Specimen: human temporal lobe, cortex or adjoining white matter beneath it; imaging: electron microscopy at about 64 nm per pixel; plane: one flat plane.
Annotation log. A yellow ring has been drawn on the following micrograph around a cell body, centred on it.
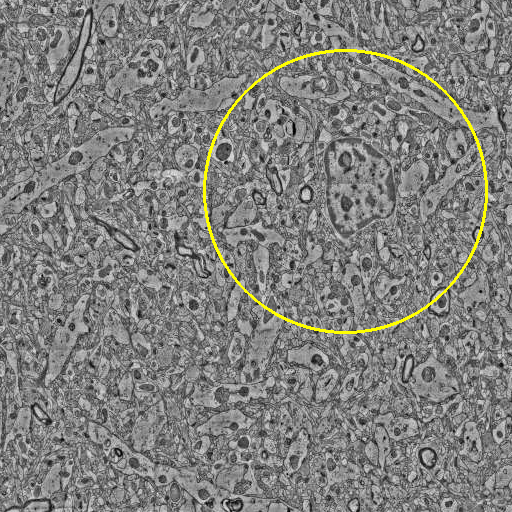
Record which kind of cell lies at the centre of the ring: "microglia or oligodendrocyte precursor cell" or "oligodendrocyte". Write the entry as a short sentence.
The cell the ring is centred on is a microglial cell or oligodendrocyte precursor cell.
